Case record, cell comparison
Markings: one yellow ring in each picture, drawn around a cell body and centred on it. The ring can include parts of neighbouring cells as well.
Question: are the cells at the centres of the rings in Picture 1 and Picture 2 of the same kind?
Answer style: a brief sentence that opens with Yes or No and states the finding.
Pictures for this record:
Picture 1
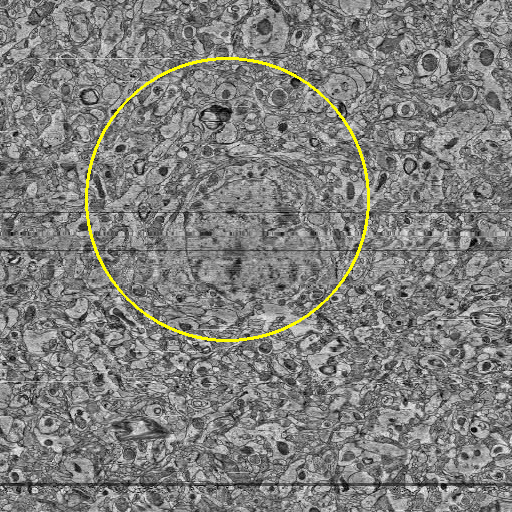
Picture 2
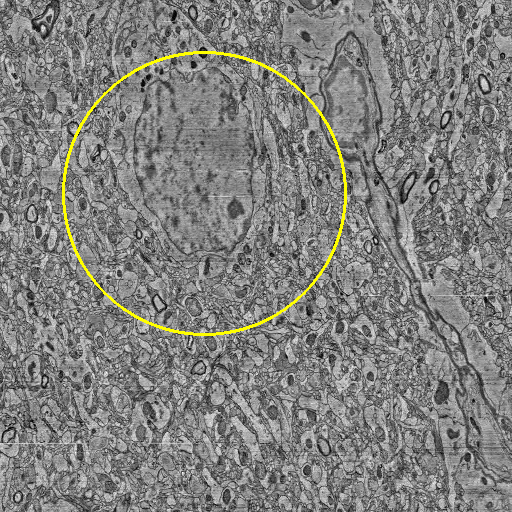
Yes, the cells in Picture 1 and Picture 2 are of the same kind.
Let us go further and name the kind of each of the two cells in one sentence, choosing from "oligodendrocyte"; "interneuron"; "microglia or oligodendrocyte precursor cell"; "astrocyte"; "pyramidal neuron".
The second cell is an interneuron, just as the first is.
